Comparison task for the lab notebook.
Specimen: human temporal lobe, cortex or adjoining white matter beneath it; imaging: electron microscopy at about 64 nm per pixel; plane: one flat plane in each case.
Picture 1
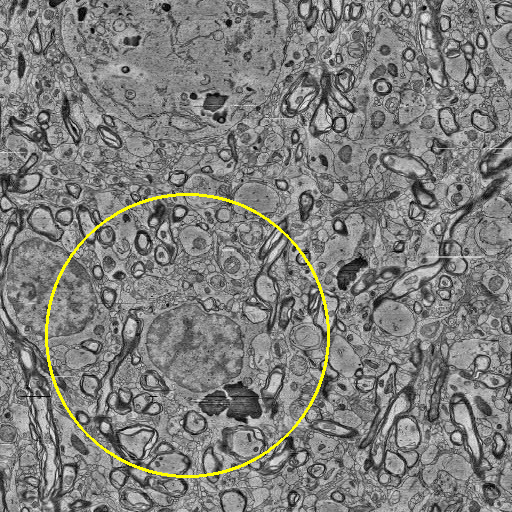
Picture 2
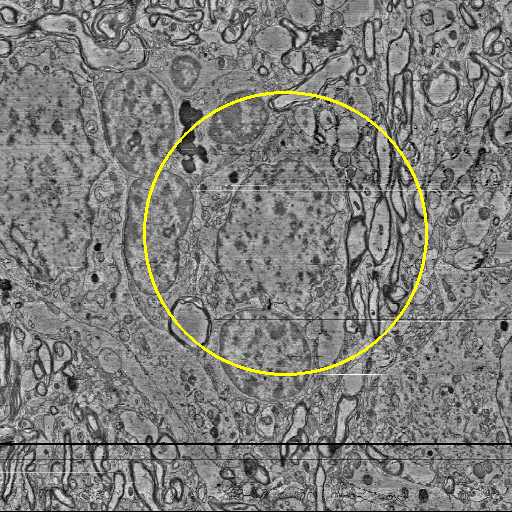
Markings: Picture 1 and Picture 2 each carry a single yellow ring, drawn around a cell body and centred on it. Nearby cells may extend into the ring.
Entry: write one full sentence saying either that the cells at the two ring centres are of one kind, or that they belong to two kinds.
The cells sitting at the ring centres in Picture 1 and Picture 2 belong to two kinds.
